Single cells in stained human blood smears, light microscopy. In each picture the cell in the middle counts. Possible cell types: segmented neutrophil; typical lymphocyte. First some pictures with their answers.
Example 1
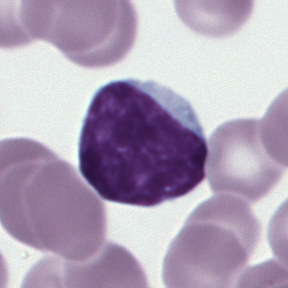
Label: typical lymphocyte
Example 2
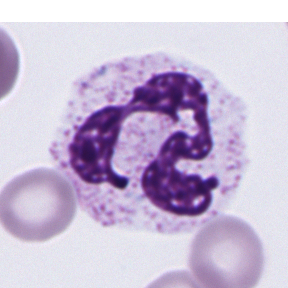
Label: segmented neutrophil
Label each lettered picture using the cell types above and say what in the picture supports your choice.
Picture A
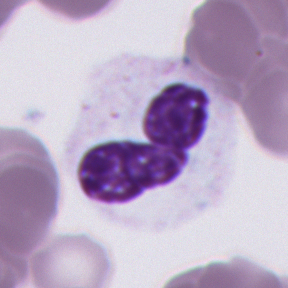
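segmented neutrophil. Reason: The cytoplasm is abundant and very pale, almost colourless.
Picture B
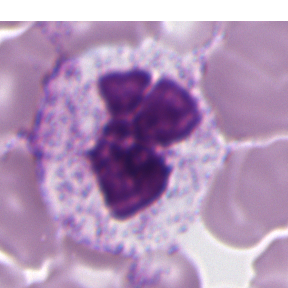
segmented neutrophil. Reason: The nucleus is divided into several lobes lying close together.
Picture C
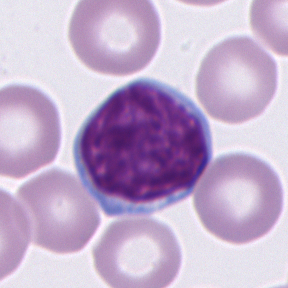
typical lymphocyte. Reason: The cytoplasm forms only a thin rim around the nucleus.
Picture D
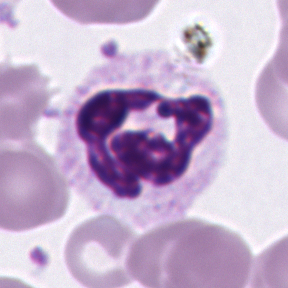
segmented neutrophil. Reason: The cytoplasm is plentiful and pale pinkish-lilac.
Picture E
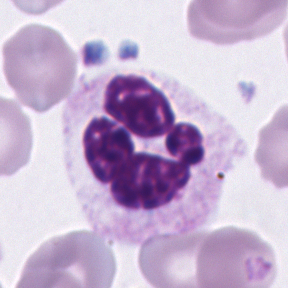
segmented neutrophil. Reason: The cytoplasm is plentiful and pale lilac-pink.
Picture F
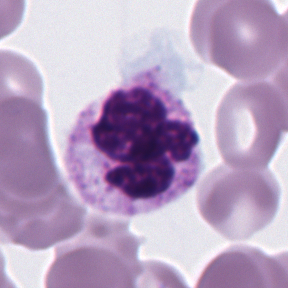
segmented neutrophil. Reason: The nucleus is divided into several lobes clustered together.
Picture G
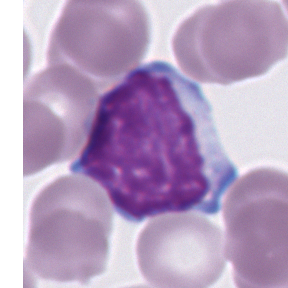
typical lymphocyte. Reason: The cytoplasm forms a narrow rim that is widest on the right side.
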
